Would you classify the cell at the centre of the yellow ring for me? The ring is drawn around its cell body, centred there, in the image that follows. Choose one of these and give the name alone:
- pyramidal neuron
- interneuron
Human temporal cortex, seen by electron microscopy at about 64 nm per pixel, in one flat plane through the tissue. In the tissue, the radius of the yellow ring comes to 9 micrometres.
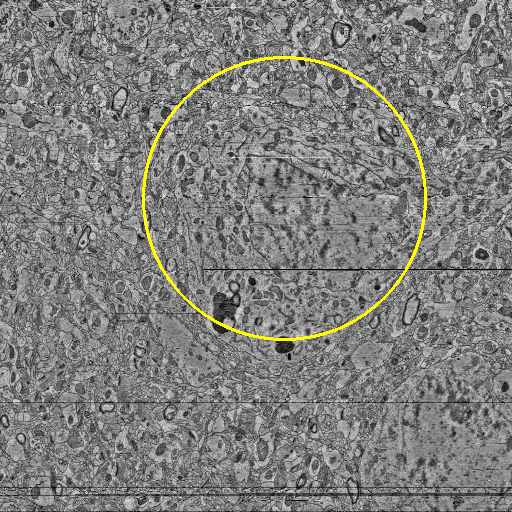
interneuron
